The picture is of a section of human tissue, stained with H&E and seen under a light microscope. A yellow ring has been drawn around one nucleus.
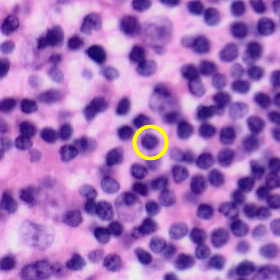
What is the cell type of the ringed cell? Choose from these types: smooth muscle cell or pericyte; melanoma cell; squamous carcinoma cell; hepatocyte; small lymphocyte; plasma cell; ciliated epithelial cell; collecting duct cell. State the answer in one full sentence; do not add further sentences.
In terms of identity, the ringed cell is a small lymphocyte.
